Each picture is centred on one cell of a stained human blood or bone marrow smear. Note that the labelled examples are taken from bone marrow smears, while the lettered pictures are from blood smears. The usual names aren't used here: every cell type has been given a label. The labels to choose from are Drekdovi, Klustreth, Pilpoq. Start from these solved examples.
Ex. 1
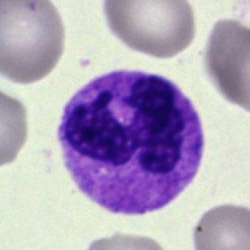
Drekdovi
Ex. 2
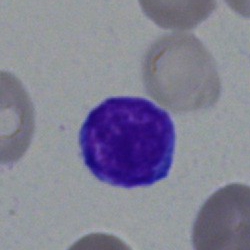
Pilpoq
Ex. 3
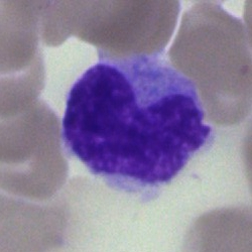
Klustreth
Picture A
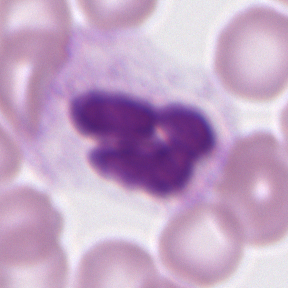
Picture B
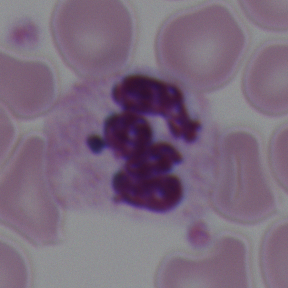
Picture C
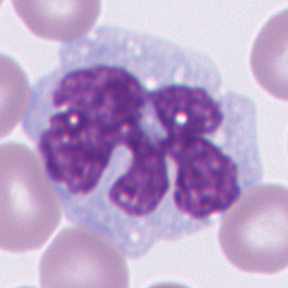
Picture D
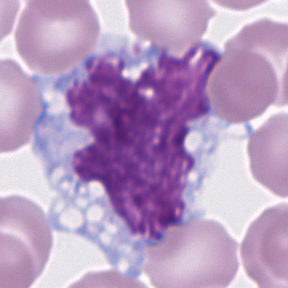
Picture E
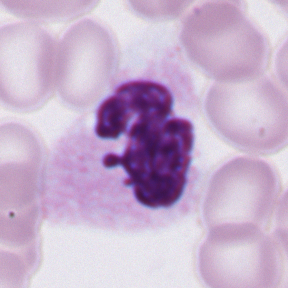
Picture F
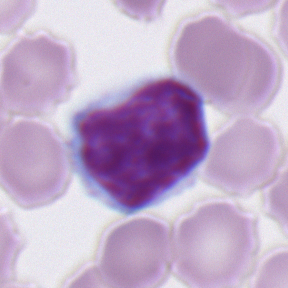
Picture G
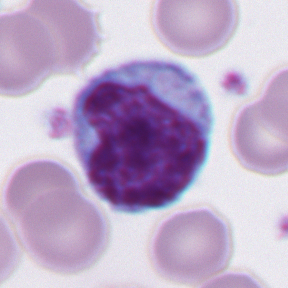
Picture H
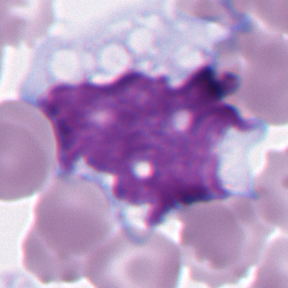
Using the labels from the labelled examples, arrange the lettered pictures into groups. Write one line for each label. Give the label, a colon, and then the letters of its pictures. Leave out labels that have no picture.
Drekdovi: A, B, E
Klustreth: C, D, H
Pilpoq: F, G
